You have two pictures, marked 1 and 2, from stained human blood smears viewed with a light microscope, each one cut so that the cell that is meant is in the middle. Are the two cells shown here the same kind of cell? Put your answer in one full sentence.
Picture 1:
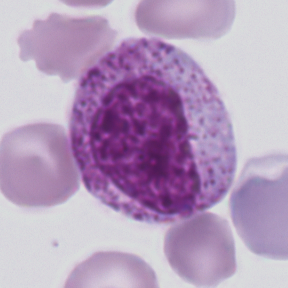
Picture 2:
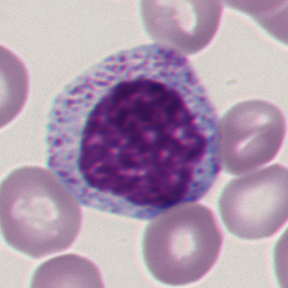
Yes, both cells are myelocytes.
